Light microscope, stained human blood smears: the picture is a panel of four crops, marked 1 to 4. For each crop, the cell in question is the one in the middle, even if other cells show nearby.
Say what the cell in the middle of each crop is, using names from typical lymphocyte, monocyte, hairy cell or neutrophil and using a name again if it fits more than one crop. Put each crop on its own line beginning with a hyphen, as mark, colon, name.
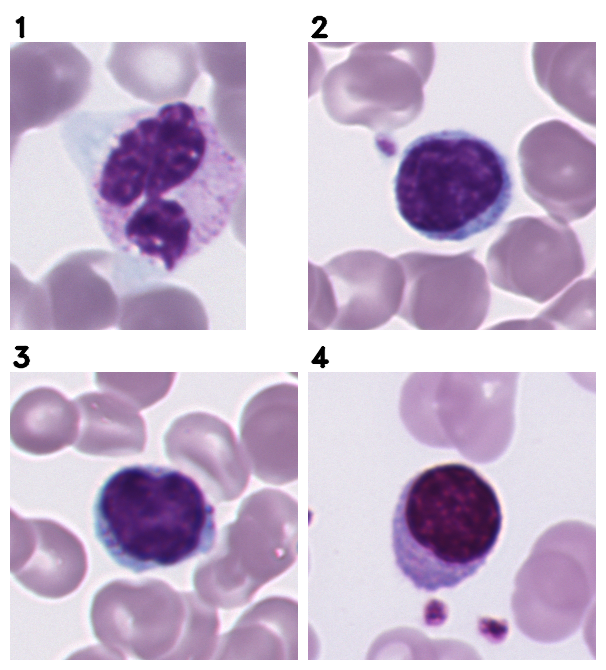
- 1: neutrophil
- 2: typical lymphocyte
- 3: typical lymphocyte
- 4: typical lymphocyte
